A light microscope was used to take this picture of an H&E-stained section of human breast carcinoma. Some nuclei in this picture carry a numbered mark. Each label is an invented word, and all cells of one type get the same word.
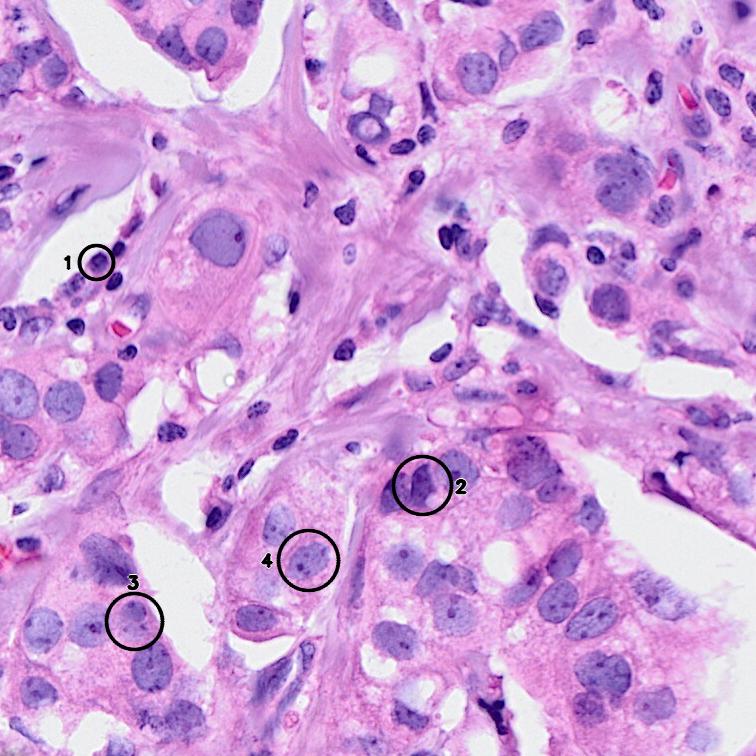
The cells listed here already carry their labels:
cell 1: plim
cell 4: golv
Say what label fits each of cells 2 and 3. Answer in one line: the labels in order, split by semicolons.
golv; golv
